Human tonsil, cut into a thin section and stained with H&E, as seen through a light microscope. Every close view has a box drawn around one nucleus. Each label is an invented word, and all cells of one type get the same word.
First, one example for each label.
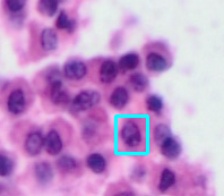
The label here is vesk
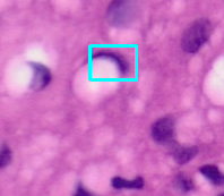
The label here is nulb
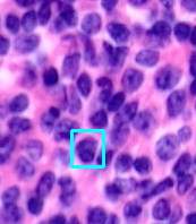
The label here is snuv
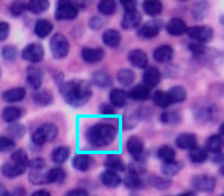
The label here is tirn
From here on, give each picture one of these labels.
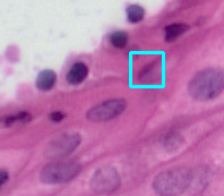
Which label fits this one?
nulb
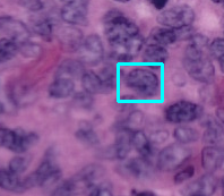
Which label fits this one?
tirn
